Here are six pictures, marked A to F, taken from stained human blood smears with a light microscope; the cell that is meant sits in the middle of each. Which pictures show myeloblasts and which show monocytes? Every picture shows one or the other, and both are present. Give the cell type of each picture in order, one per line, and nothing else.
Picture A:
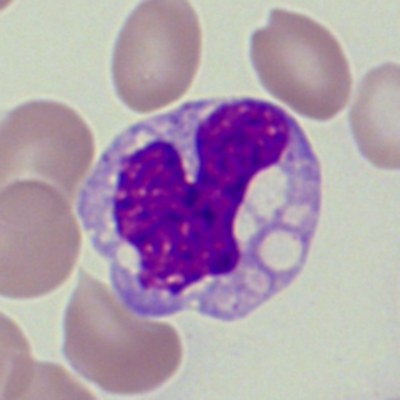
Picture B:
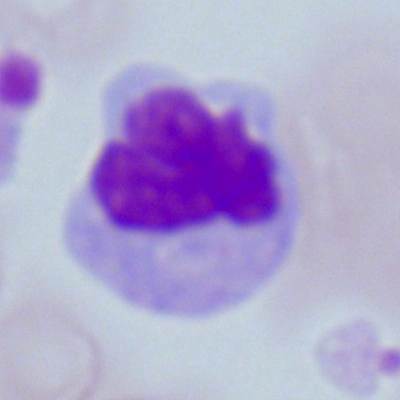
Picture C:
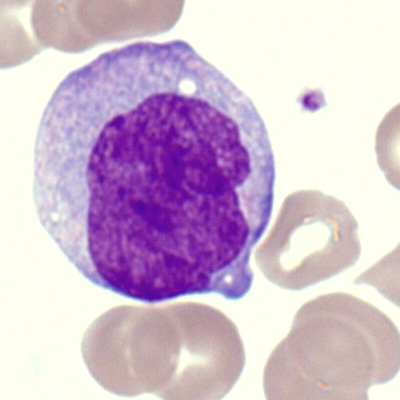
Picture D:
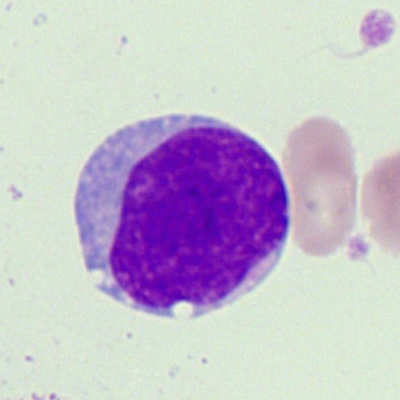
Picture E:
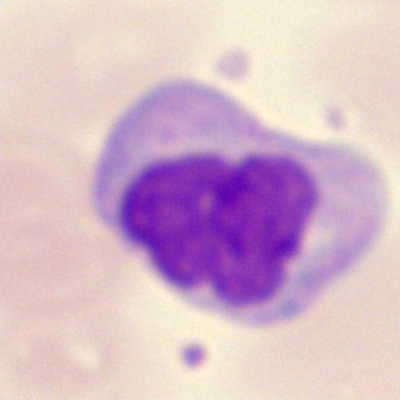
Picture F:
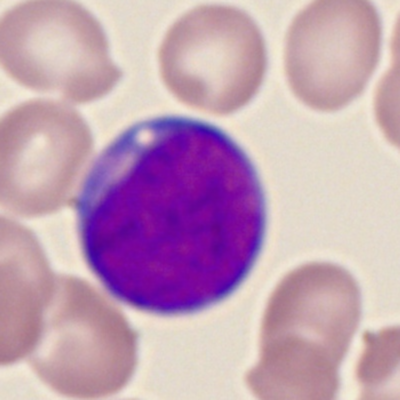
monocyte
monocyte
monocyte
myeloblast
monocyte
myeloblast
